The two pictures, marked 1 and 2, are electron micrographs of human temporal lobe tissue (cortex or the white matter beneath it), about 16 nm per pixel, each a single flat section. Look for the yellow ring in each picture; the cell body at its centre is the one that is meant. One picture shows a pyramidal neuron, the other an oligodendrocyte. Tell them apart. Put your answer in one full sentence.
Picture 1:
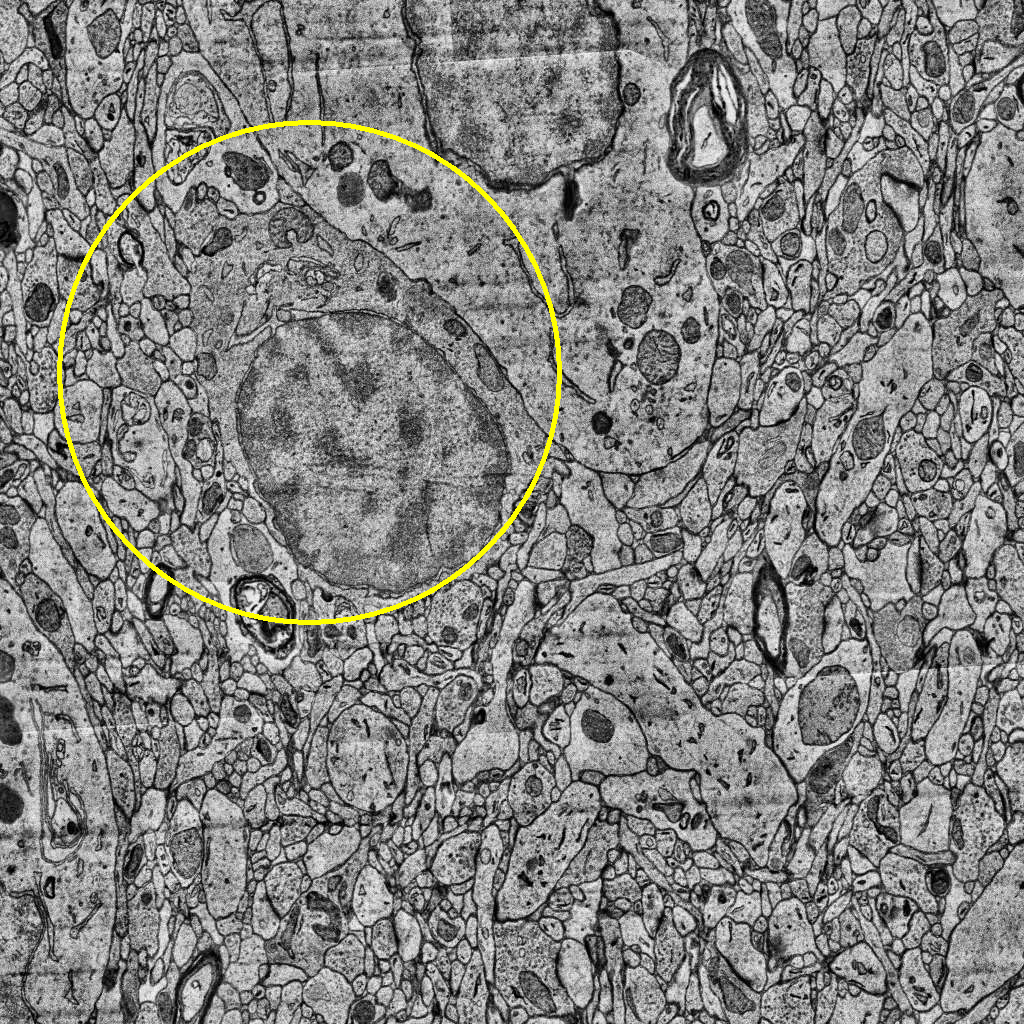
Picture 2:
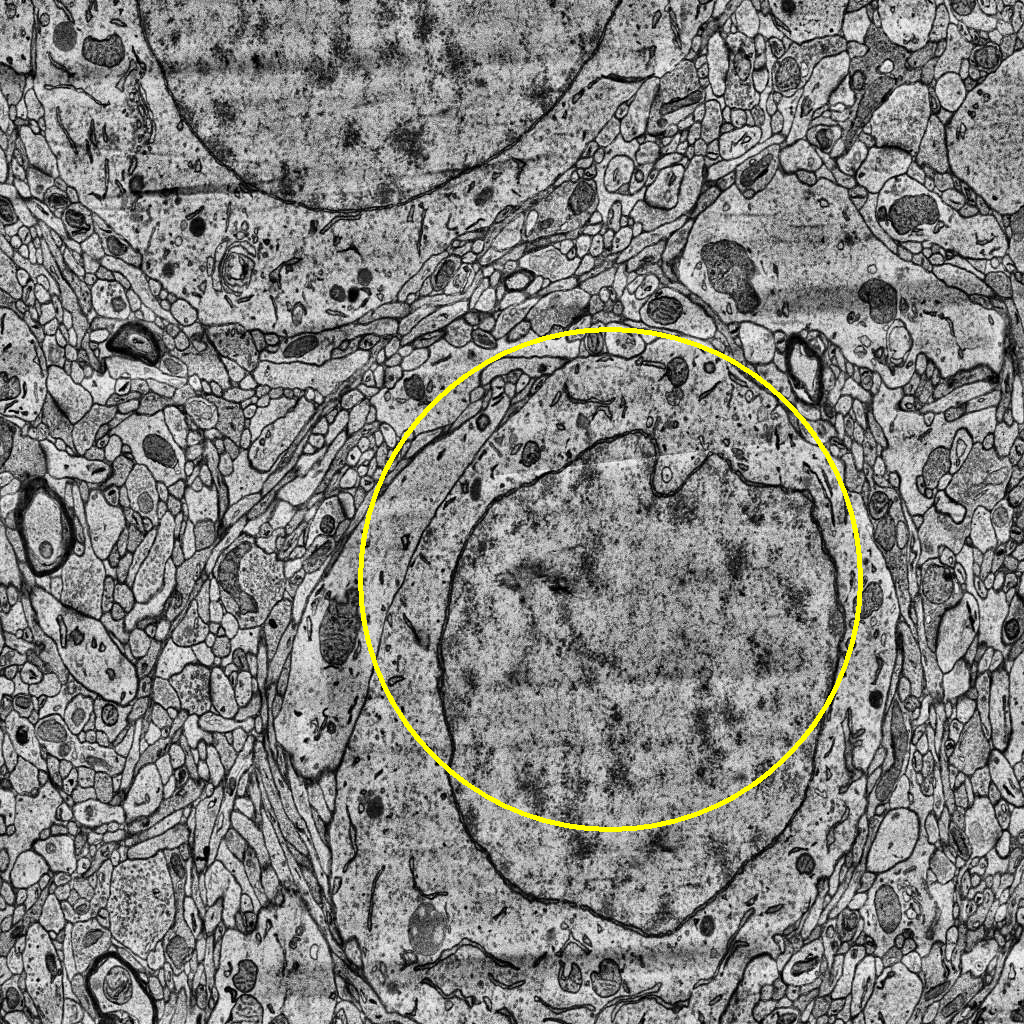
It is picture 1 that shows an oligodendrocyte, and picture 2 that shows a pyramidal neuron.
